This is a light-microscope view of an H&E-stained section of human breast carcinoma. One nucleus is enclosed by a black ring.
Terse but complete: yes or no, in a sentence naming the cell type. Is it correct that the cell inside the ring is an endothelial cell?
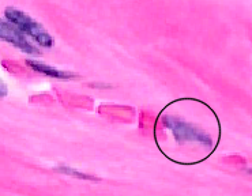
Yes, the cell inside the ring in this section represents an endothelial cell.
